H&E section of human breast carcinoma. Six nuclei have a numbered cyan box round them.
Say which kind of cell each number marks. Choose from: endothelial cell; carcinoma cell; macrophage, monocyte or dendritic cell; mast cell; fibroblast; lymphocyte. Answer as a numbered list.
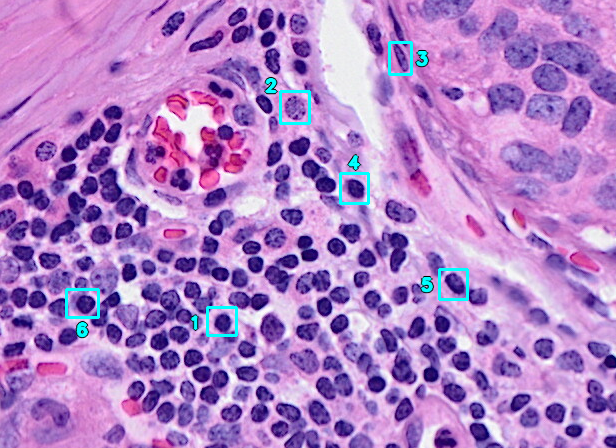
1. lymphocyte
2. mast cell
3. endothelial cell
4. lymphocyte
5. lymphocyte
6. lymphocyte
